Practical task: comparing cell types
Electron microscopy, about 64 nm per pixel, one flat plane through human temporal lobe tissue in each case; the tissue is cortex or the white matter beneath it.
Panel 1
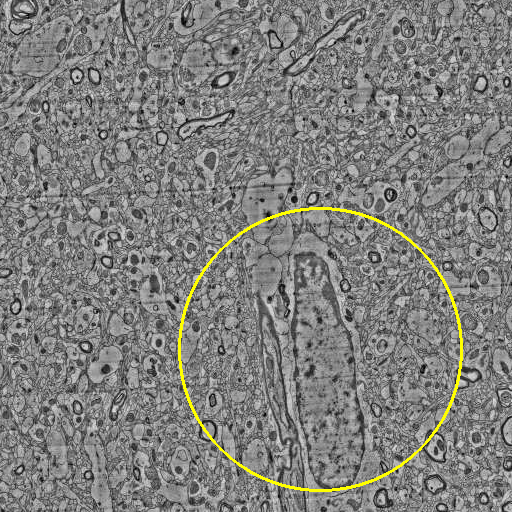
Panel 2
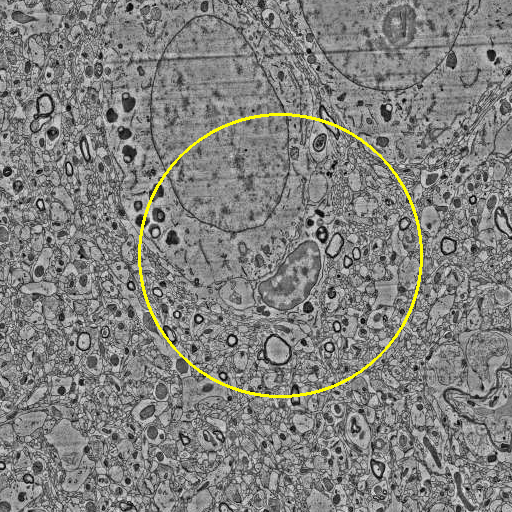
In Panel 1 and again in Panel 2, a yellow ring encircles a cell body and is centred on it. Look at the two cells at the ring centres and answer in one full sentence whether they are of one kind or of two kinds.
The two cells sitting at the ring centres of Panels 1 and 2 are of one kind.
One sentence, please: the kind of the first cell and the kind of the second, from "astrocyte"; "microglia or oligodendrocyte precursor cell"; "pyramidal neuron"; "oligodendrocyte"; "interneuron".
The ring centre holds a microglial cell or oligodendrocyte precursor cell in each of the two pictures.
